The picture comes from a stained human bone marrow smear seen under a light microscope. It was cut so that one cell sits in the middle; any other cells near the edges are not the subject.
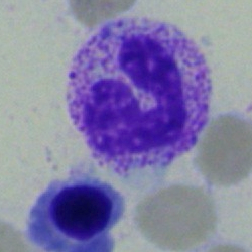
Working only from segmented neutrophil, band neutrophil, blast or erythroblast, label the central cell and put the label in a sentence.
Looking at the middle of the crop, the cell there is a band neutrophil.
